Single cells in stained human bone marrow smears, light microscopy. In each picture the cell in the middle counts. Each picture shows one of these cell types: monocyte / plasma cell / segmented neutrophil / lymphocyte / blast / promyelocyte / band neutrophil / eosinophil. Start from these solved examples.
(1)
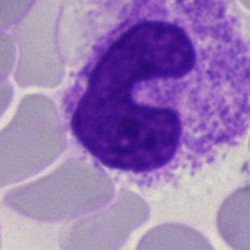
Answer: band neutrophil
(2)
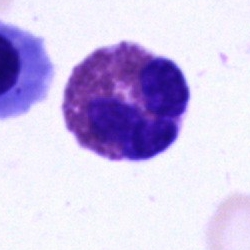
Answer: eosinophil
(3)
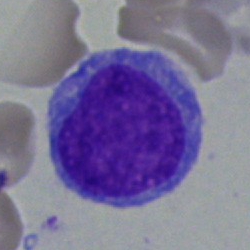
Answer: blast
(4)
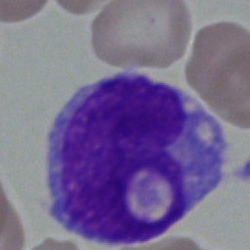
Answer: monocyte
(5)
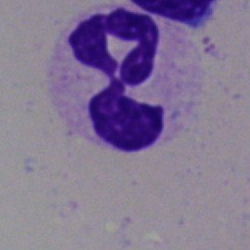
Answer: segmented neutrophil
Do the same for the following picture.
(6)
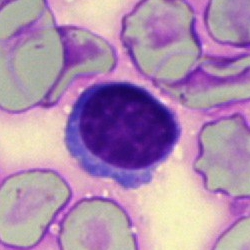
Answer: lymphocyte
